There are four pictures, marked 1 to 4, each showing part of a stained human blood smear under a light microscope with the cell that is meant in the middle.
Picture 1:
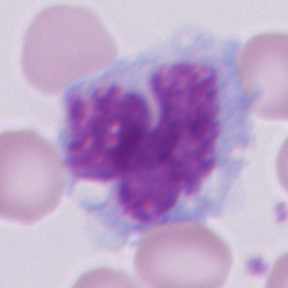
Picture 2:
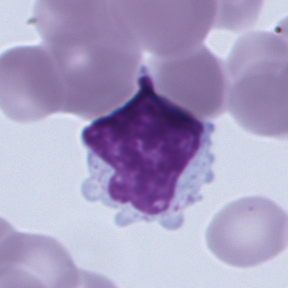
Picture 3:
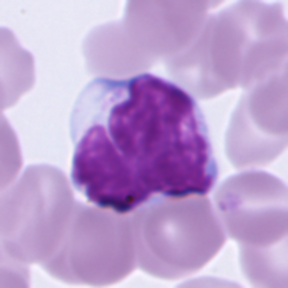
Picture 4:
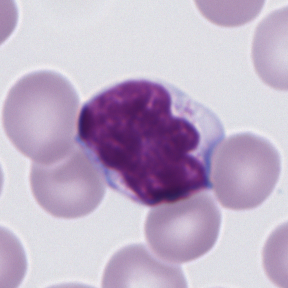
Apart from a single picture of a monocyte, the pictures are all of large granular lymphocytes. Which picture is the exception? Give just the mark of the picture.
1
